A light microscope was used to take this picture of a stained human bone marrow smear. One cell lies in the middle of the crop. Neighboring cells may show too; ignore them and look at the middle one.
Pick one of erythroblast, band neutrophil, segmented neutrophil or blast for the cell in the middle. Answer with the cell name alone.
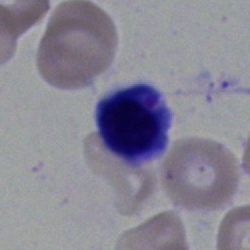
erythroblast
